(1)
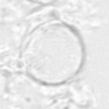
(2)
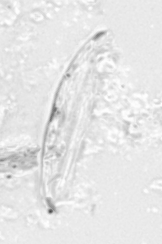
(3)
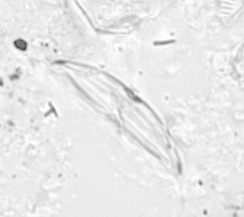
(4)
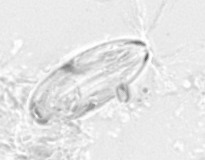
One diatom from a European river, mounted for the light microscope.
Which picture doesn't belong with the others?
Picture 1.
